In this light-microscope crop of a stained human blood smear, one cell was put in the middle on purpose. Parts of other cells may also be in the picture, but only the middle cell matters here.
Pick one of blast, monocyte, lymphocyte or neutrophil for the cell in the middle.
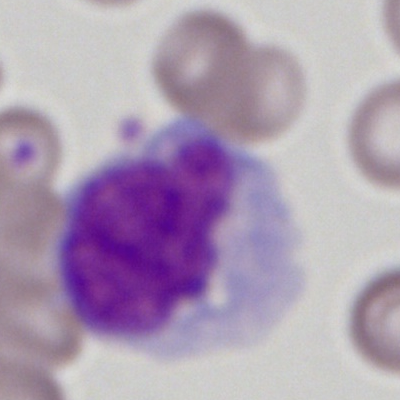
monocyte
